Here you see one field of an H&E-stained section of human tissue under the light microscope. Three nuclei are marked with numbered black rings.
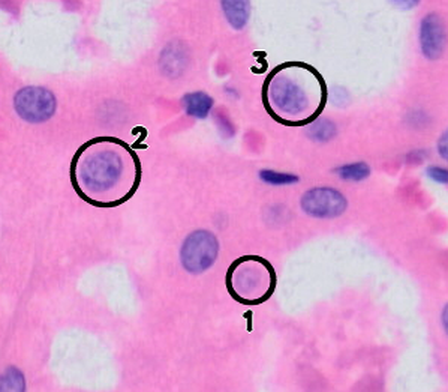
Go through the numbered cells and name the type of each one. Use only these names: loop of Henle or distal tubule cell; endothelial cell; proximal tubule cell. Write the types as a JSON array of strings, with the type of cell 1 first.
["proximal tubule cell", "proximal tubule cell", "loop of Henle or distal tubule cell"]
